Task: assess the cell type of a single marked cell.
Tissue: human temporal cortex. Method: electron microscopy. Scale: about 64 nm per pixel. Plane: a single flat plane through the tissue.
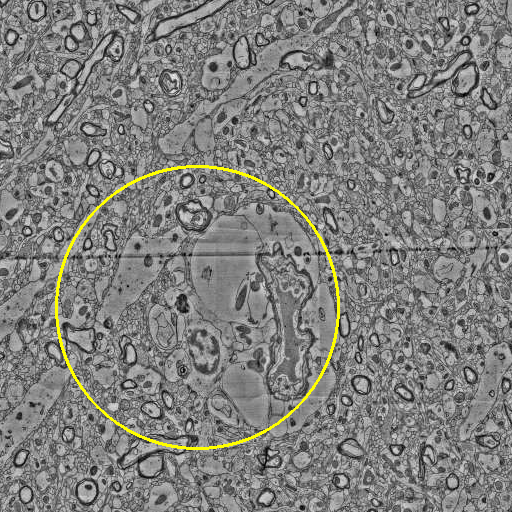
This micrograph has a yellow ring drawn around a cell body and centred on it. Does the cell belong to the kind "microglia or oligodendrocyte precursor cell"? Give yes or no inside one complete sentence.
Yes, the marked cell at the centre of the ring belongs to that kind.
